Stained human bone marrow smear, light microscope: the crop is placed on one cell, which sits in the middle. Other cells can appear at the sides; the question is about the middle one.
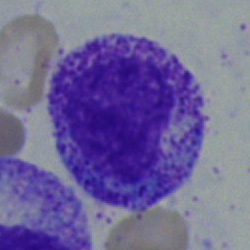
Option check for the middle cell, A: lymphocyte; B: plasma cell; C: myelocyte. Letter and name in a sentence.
The middle cell of the crop is a myelocyte; accordingly, option C is correct.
